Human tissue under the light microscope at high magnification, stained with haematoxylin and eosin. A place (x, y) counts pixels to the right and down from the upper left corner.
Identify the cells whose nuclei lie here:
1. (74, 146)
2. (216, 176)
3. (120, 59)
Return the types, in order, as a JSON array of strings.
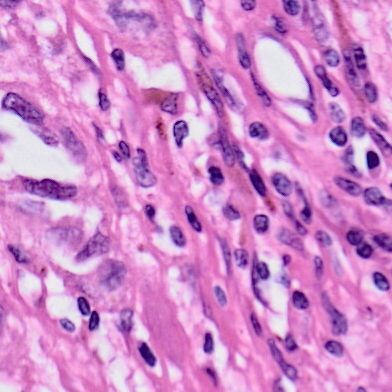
["melanoma cell", "plasma cell", "lymphocyte"]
